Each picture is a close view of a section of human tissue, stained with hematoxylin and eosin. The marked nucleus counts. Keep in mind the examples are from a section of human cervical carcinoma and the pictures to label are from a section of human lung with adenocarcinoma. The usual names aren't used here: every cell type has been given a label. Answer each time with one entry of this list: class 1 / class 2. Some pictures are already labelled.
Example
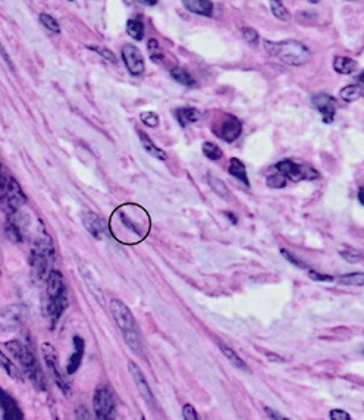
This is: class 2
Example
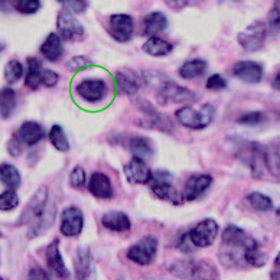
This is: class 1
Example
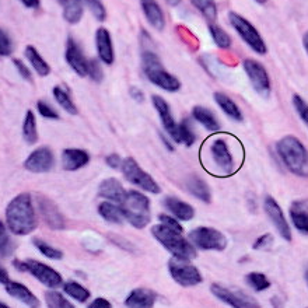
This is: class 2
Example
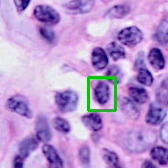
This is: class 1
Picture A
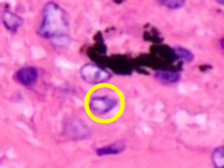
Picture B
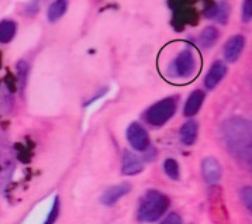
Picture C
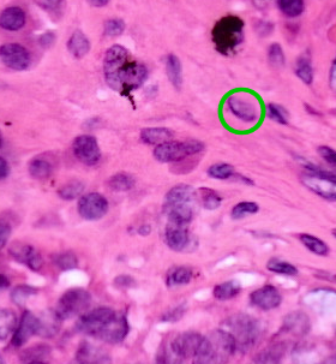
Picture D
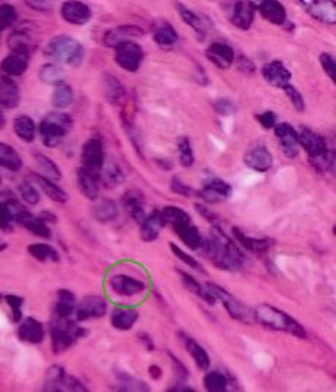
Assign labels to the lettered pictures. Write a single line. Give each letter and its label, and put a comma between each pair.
A class 2, B class 1, C class 2, D class 1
